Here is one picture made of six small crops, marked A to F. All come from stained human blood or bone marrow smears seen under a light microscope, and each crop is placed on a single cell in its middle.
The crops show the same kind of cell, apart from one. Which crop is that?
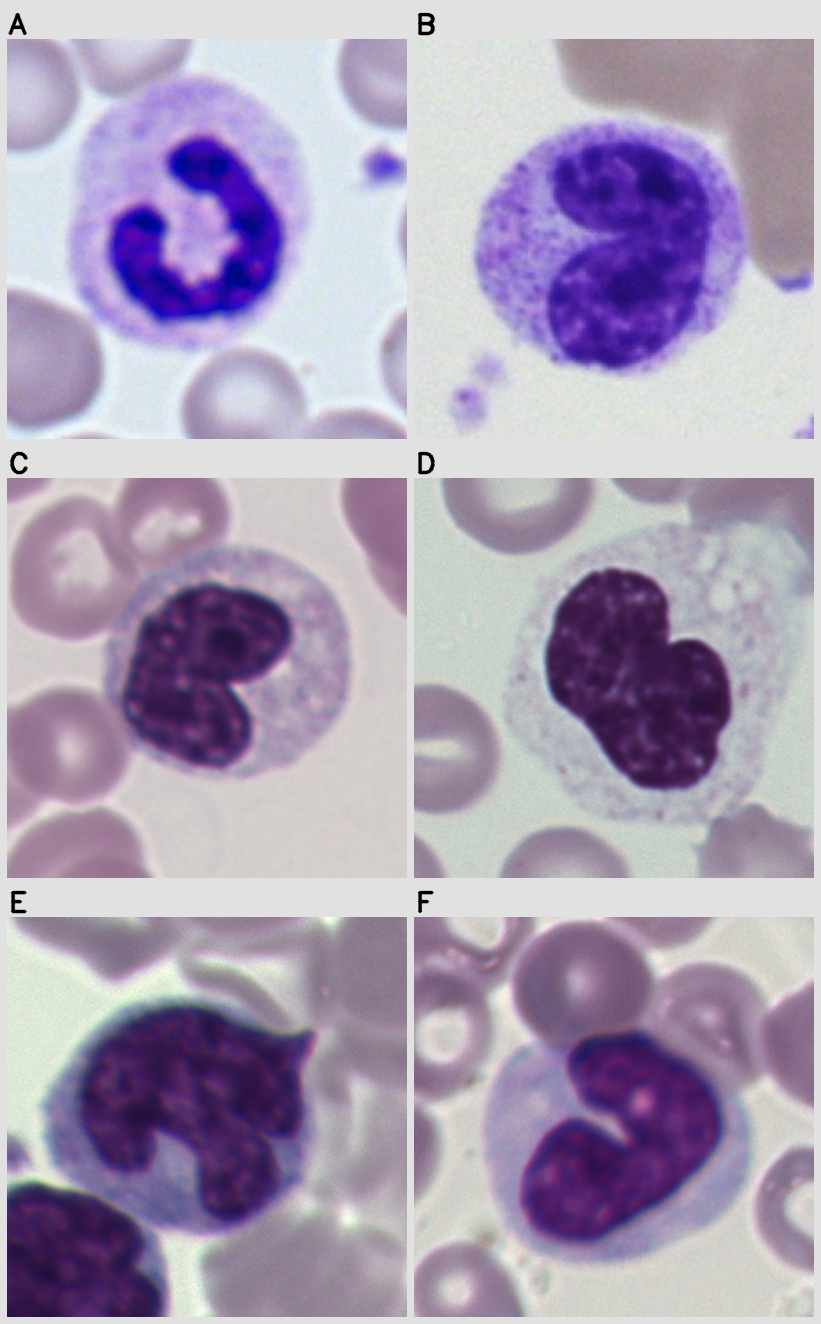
E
